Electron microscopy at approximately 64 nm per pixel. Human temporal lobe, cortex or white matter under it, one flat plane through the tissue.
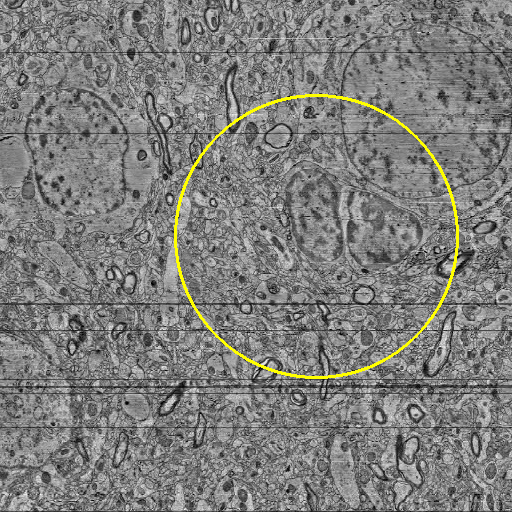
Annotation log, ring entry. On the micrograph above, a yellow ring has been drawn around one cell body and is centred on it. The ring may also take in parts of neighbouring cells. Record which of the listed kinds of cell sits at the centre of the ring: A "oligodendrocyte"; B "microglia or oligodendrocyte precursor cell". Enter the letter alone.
A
